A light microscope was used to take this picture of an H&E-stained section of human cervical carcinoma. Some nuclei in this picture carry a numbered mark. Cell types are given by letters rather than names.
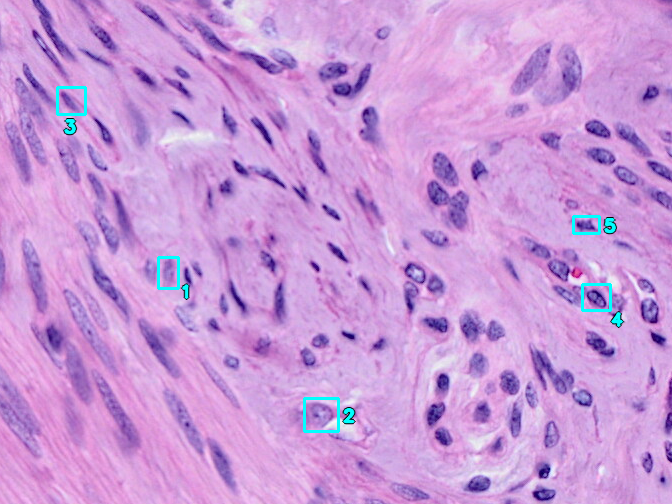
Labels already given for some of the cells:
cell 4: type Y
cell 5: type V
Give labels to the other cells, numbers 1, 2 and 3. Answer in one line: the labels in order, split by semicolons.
type V; type Y; type V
